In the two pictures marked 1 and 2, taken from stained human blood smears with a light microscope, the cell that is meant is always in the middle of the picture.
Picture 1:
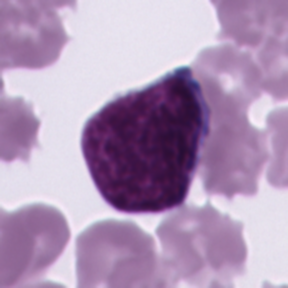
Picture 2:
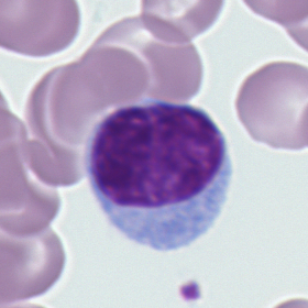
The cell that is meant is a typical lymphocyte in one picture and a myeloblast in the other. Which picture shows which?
1: myeloblast
2: typical lymphocyte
